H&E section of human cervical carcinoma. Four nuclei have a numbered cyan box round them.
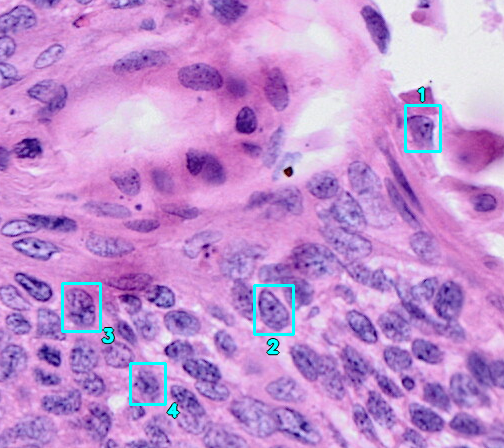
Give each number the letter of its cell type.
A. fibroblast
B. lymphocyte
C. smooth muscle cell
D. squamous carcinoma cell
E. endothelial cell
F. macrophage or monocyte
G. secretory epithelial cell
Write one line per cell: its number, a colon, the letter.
1: F
2: D
3: D
4: D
